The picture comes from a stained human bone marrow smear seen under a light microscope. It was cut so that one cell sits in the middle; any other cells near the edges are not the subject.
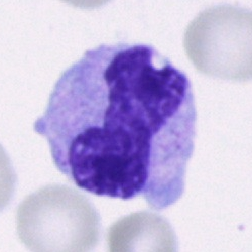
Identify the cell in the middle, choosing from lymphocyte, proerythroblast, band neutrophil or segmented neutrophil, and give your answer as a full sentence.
The central cell, amid any neighbouring cells, is a band neutrophil.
